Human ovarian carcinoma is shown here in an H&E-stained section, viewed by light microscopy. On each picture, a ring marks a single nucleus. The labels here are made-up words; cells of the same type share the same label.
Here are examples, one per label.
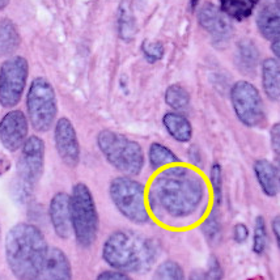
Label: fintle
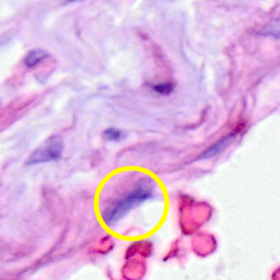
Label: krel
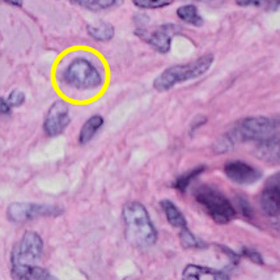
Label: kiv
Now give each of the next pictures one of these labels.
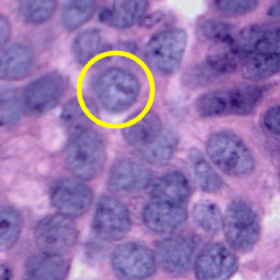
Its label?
fintle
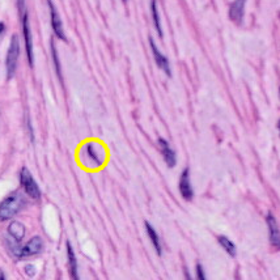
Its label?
kiv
